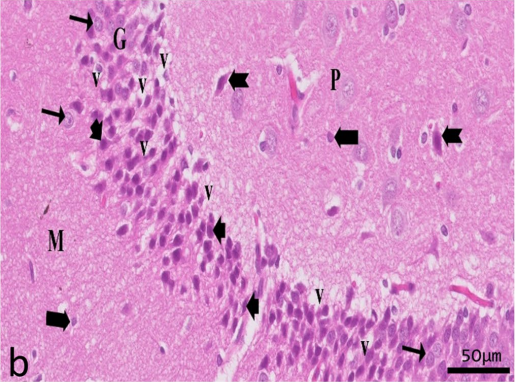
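The granular layer of the dentate gyrus runs diagonally as a band of cells that now stain dark purple and look shrunken. Most of these granule cells have dark nuclei without a visible nucleolus, and many clear empty spaces lie between them, so the band looks vacuolated. A few paler round nuclei remain here and there within the band. In the pale, somewhat spongy fibrillar tissue beside it, larger cells stain dark, and small dark-nucleated glial cells are scattered about. Compared with an orderly granular layer, this picture fits degeneration of the granule cells with vacuolation.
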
